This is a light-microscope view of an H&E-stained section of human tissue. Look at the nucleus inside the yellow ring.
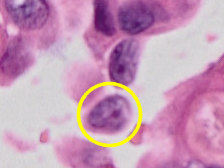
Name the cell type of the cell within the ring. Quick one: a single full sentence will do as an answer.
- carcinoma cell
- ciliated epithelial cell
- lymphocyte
Labelled by cell type, the cell within the ring is a carcinoma cell.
